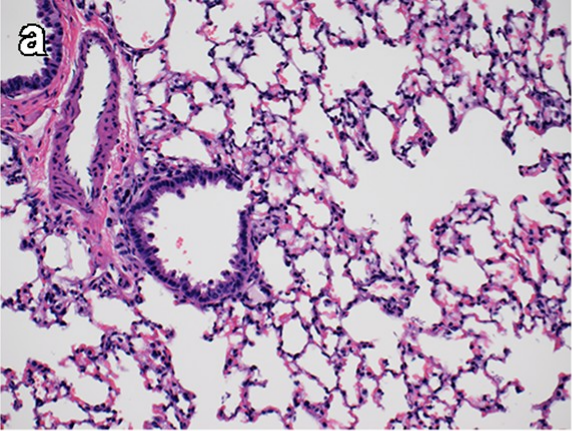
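Lung with a bronchiole lined by a single layer of tall columnar epithelial cells with dark, basally placed nuclei, and beside it at upper left a blood vessel with a pink, layered fibrous and muscular wall. The surrounding parenchyma consists of open alveoli separated by thin, delicate septa that hold flattened nuclei and a little pink cytoplasm. The alveolar spaces are clear and empty. No crowding of cells, blood or pink material fills the airspaces around the bronchiole.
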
